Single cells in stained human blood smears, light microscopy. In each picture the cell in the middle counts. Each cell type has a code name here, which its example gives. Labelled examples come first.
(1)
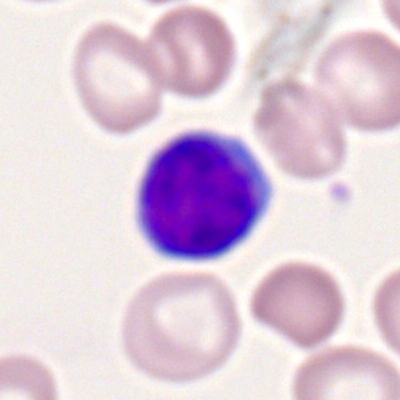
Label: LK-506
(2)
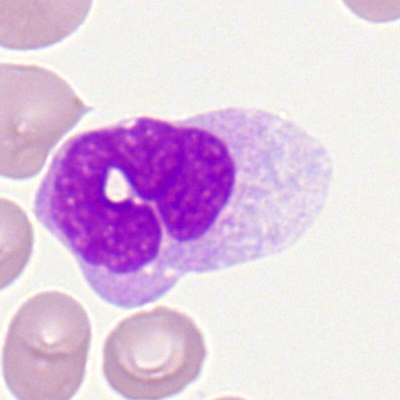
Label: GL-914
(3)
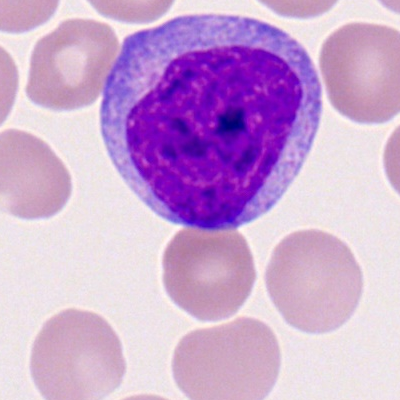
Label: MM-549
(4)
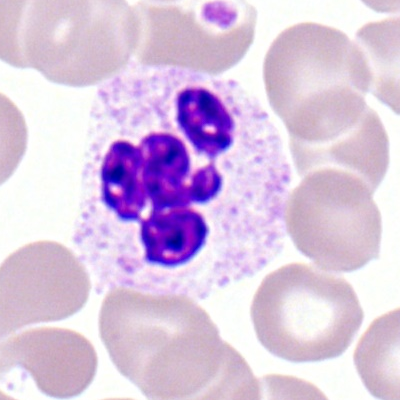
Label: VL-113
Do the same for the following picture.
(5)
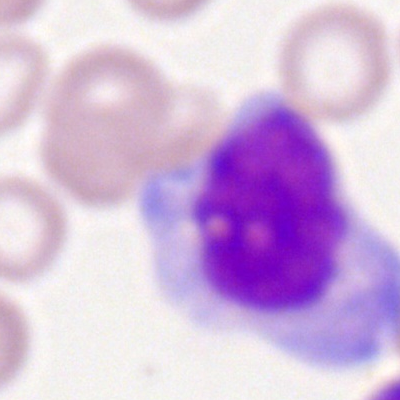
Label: GL-914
